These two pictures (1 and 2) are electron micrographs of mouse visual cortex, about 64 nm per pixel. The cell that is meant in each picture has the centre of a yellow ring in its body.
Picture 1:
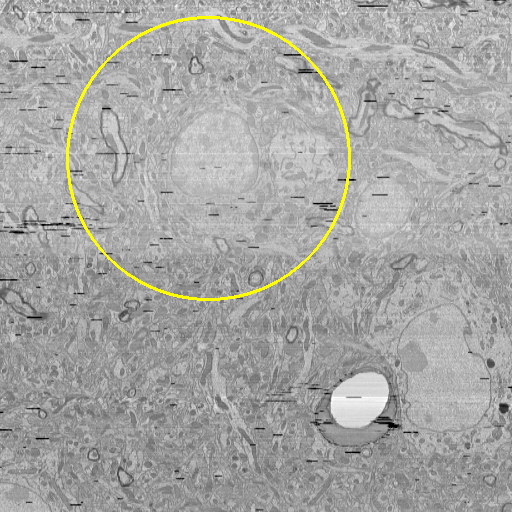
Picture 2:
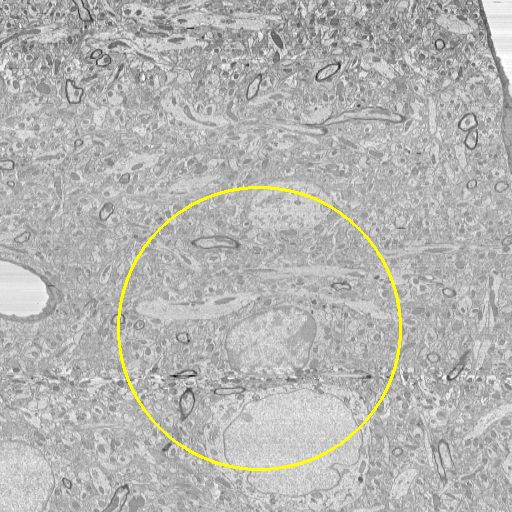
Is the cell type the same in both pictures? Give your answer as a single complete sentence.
Yes, both are oligodendrocytes.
